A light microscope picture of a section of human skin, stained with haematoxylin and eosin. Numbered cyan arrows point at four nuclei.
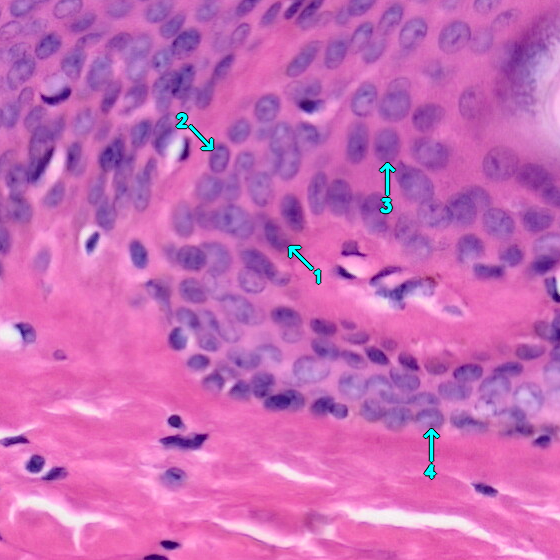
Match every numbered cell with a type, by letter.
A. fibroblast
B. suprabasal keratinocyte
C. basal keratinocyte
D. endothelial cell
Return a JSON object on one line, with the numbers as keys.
{"1": "C", "2": "C", "3": "B", "4": "C"}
